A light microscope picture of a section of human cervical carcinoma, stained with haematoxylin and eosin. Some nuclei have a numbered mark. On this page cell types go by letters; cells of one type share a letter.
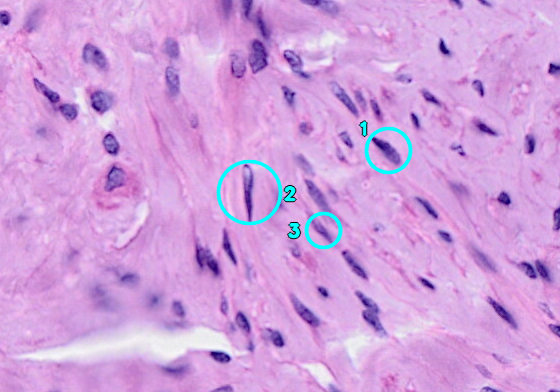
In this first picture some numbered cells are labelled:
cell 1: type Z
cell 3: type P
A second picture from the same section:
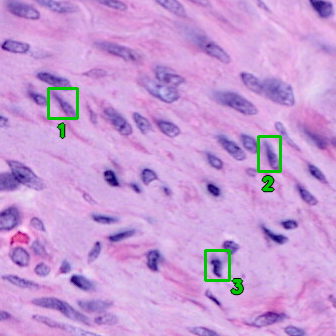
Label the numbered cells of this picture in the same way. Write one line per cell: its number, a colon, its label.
1: type P
2: type P
3: type Z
